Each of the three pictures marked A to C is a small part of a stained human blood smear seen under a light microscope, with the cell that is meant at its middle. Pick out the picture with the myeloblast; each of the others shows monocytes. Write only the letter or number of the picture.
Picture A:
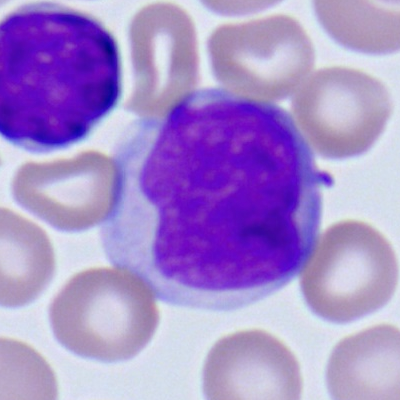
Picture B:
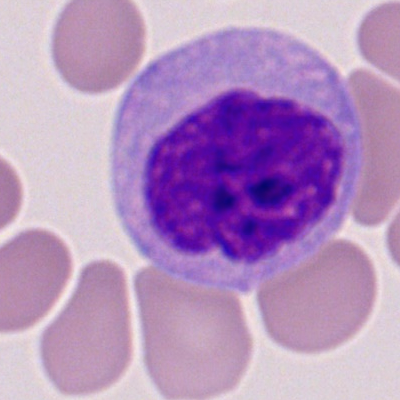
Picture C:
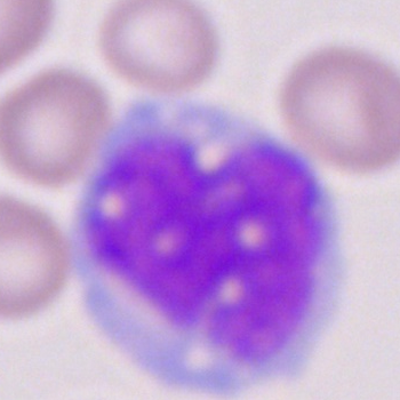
A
